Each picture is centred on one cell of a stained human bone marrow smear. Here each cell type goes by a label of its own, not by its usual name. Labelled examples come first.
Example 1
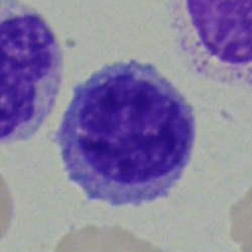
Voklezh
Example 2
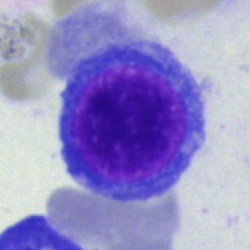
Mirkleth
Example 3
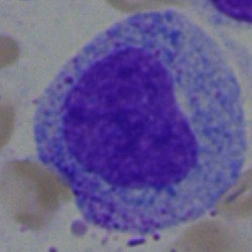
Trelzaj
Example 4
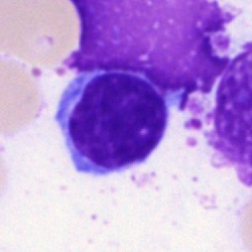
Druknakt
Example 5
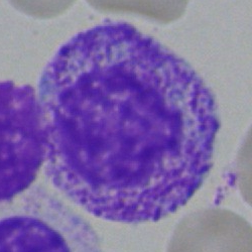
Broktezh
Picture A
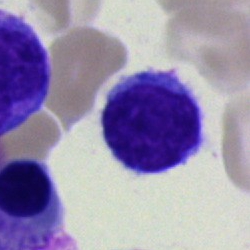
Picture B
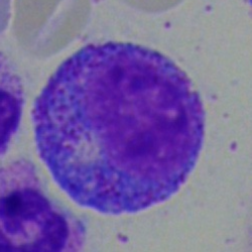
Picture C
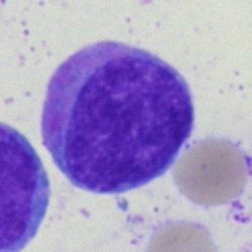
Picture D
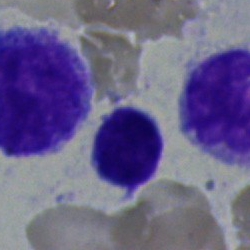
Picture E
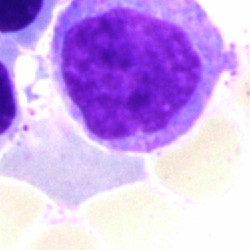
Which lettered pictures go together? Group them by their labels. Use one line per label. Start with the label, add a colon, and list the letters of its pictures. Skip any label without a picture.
Voklezh: E
Trelzaj: B, C
Druknakt: A, D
